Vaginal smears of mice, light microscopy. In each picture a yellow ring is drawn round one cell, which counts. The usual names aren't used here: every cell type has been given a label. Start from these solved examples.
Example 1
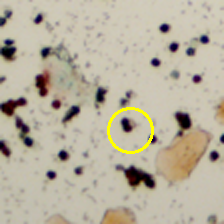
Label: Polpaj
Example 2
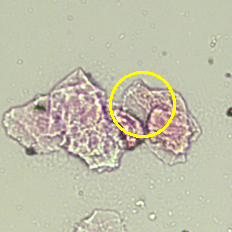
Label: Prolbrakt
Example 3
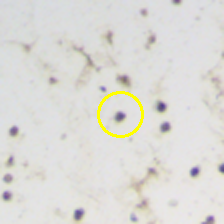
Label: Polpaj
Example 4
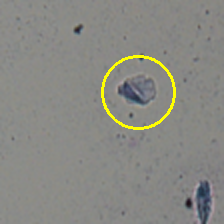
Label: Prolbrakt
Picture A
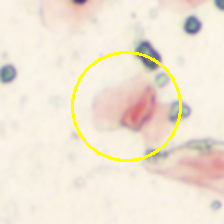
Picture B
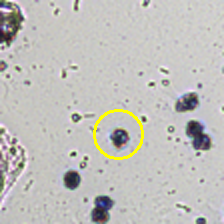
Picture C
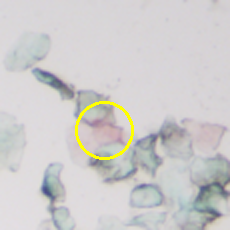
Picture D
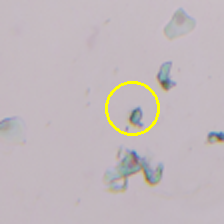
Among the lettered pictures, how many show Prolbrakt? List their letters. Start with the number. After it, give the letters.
3, namely A, C, D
